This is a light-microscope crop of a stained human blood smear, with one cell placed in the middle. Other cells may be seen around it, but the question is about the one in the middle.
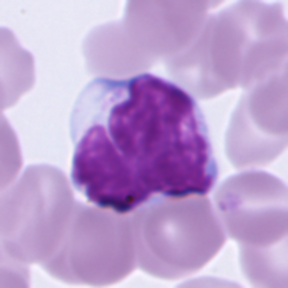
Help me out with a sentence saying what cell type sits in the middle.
In the middle of this smear crop is a large granular lymphocyte.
